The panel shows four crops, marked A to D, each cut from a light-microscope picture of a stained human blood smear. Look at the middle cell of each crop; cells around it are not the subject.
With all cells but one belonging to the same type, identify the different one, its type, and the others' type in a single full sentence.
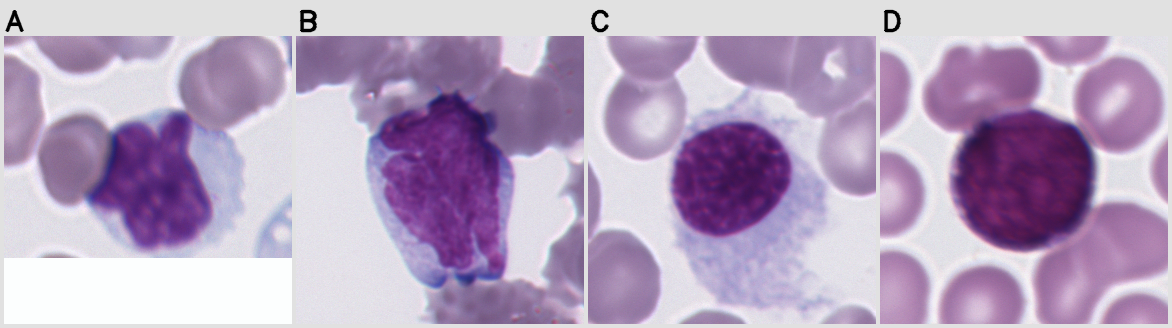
Crop C is singled out as a hairy cell, and all of the other crops show myeloblasts.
